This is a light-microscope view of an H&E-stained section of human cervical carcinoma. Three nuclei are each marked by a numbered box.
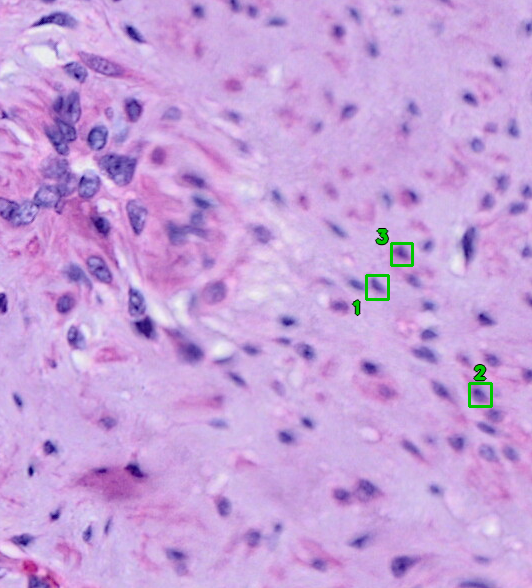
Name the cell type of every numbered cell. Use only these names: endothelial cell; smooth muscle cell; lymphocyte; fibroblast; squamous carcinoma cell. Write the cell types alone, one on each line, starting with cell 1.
fibroblast
smooth muscle cell
smooth muscle cell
